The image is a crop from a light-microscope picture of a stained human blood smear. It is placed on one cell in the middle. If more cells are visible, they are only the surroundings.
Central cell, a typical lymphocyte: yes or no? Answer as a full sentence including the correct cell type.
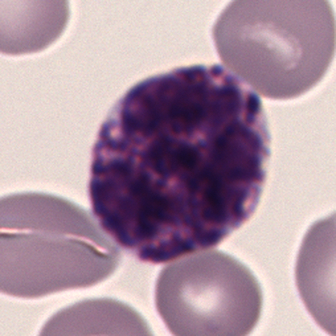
No, that is not a typical lymphocyte; the middle cell is a basophil.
